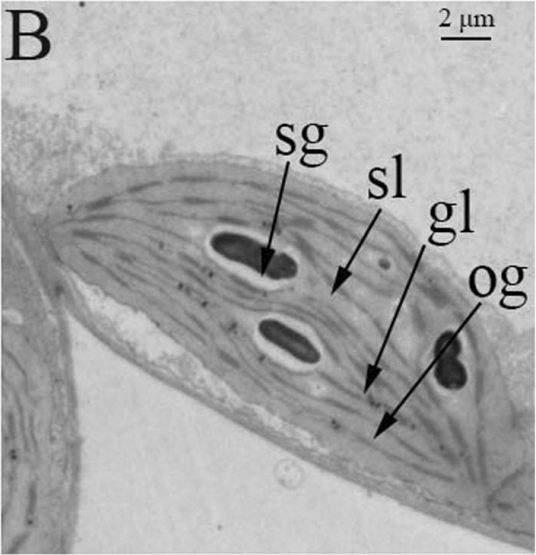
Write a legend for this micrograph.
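Two large oval starch grains sit among the membranes, each ringed by a pale halo, and further dark grains lie toward the right end. Small dark osmiophilic granules are scattered through the stroma. The membranes fan out from the narrow left tip of the organelle.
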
